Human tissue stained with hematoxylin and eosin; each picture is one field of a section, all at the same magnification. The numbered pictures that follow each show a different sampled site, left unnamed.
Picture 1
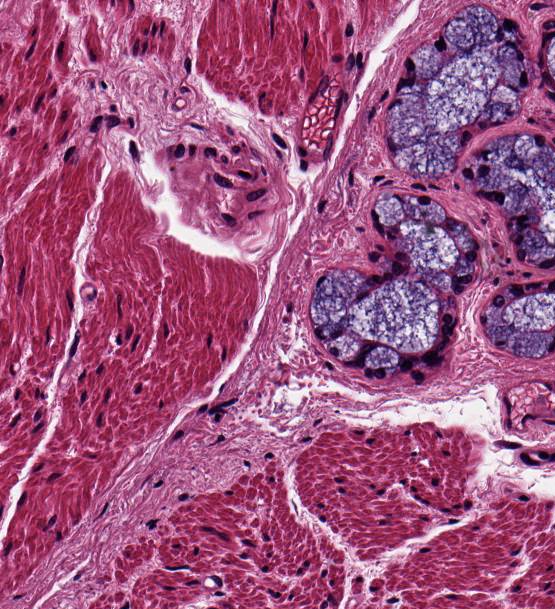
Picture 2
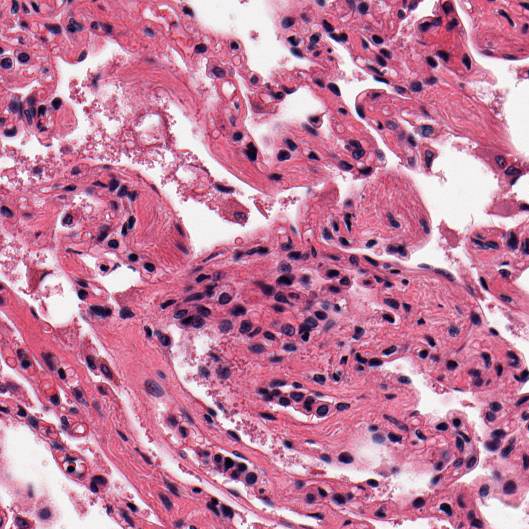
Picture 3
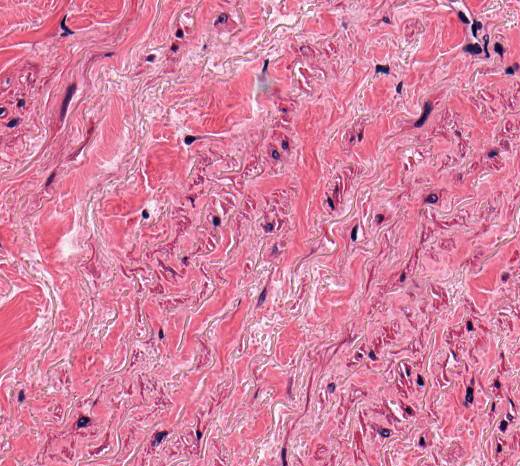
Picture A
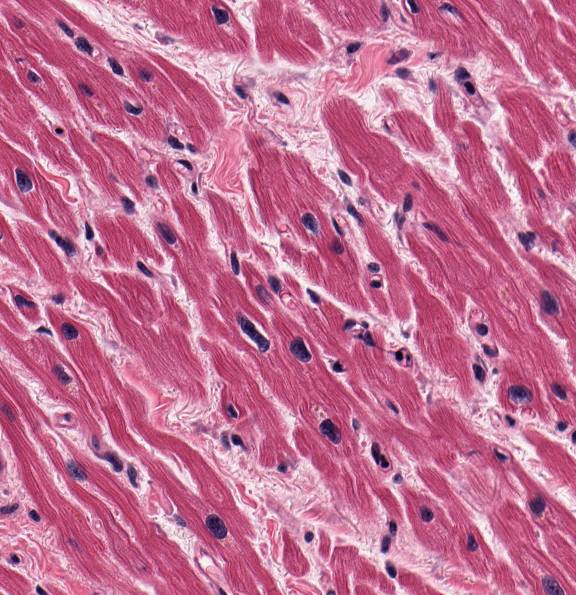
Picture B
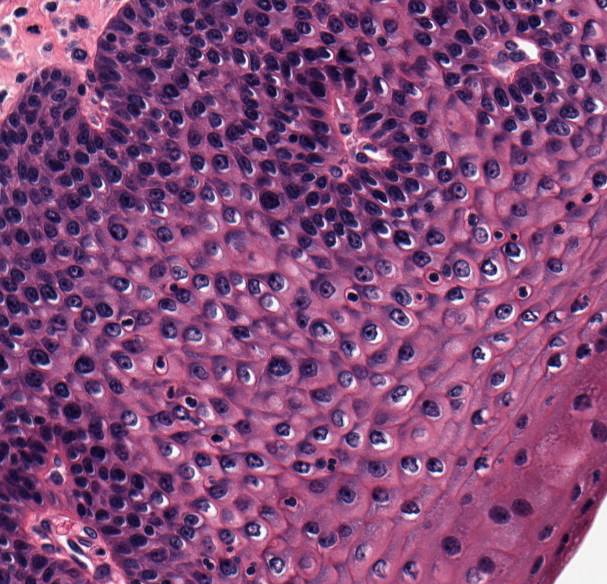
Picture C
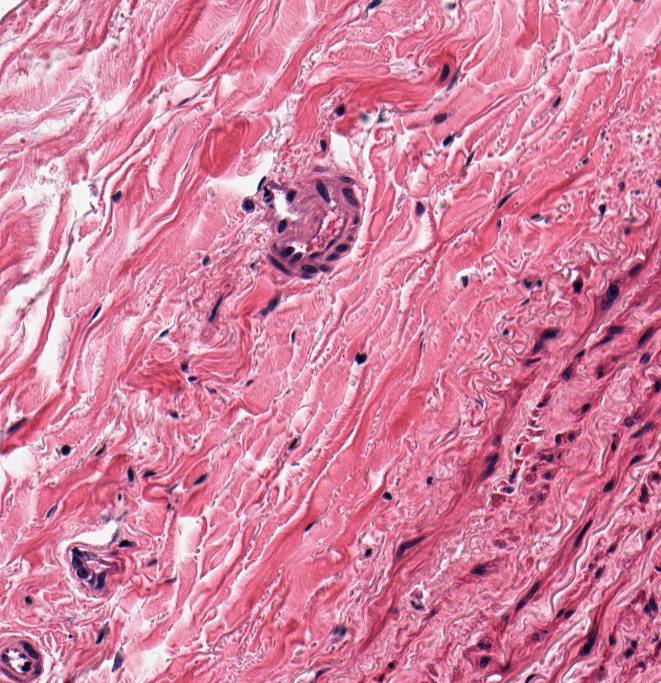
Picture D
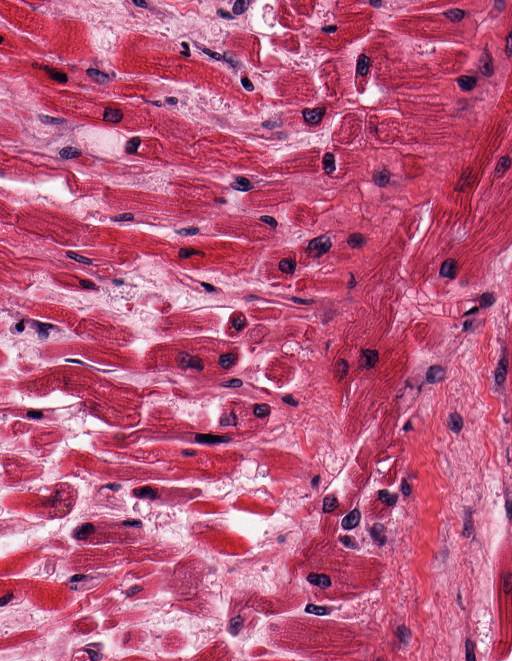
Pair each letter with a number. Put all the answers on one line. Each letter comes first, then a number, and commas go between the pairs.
A 2, B 1, C 3, D 2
